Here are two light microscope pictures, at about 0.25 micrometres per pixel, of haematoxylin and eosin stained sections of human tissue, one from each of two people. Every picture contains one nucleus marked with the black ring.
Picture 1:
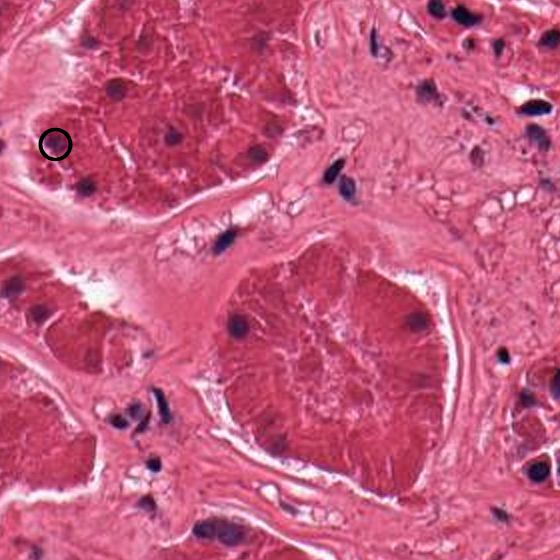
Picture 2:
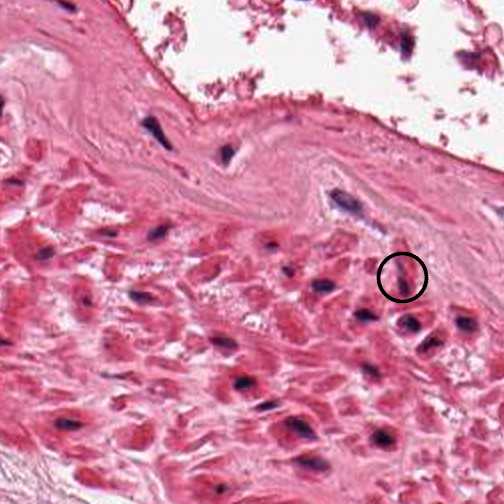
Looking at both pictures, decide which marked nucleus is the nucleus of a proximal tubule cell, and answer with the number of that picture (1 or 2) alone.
1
